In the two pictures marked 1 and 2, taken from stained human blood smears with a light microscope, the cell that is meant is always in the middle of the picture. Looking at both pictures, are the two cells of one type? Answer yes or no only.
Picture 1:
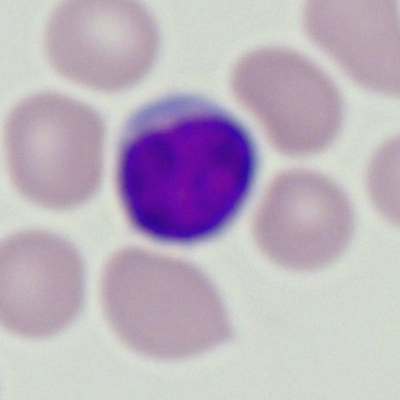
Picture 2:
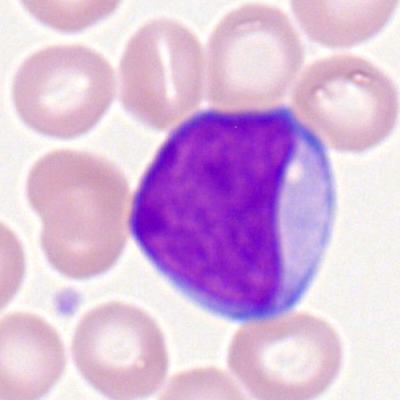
no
